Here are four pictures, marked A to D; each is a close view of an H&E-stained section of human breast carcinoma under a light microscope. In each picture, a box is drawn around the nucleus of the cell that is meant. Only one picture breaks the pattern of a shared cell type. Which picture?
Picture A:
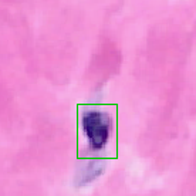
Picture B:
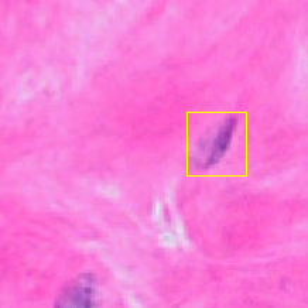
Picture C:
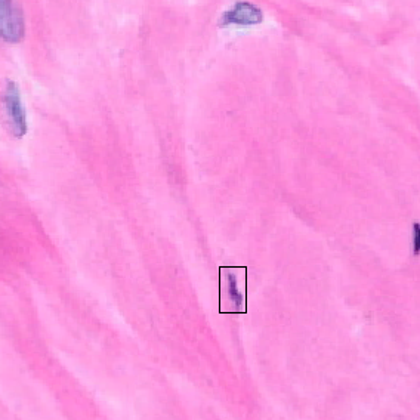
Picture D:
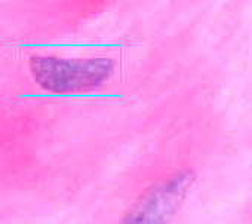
A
